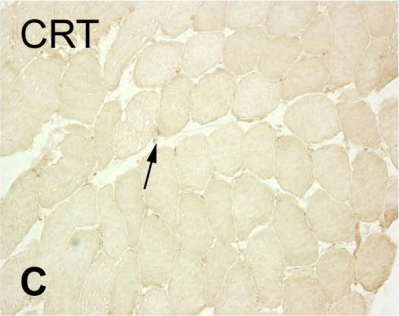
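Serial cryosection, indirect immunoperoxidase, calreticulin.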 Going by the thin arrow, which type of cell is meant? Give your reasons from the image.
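The arrow points to a small element lying between adjacent muscle fibers. The marked element is far smaller than the fibers around it. That points to this answer: interstitial cells.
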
